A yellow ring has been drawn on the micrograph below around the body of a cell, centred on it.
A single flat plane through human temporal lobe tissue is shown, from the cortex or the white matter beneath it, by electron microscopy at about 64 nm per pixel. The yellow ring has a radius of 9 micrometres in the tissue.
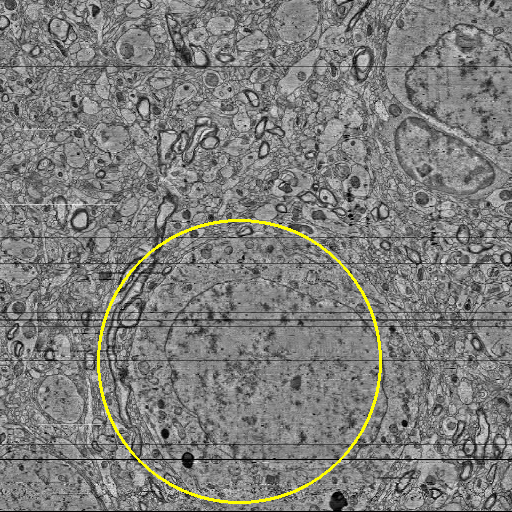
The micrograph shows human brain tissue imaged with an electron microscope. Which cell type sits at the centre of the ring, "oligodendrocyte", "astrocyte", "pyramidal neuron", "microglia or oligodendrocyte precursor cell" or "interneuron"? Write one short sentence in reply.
The cell sitting at the centre of the ring is a pyramidal neuron.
